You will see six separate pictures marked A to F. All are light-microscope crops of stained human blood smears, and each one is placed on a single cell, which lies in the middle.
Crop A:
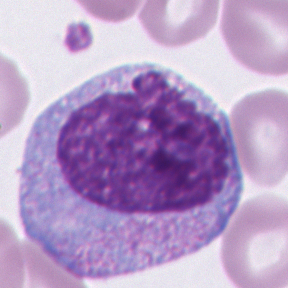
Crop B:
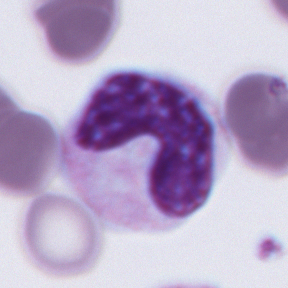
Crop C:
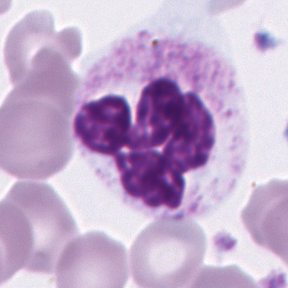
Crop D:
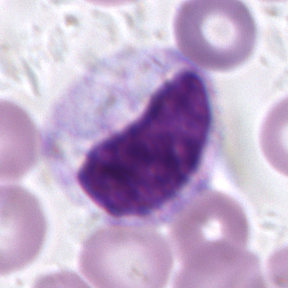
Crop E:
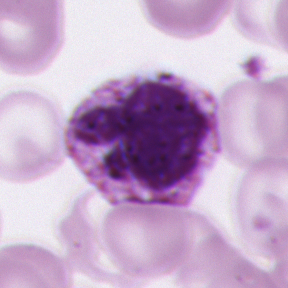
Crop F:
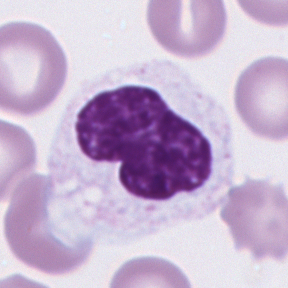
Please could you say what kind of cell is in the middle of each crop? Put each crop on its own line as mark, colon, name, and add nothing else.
A: promyelocyte
B: band neutrophil
C: segmented neutrophil
D: metamyelocyte
E: basophil
F: band neutrophil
